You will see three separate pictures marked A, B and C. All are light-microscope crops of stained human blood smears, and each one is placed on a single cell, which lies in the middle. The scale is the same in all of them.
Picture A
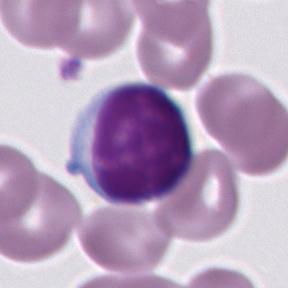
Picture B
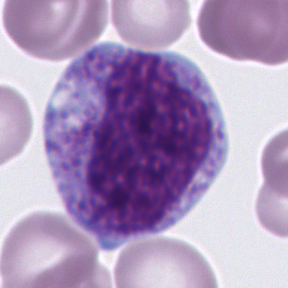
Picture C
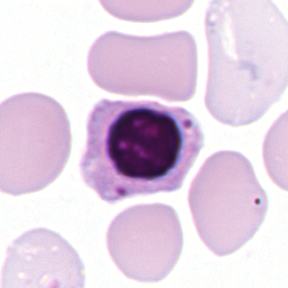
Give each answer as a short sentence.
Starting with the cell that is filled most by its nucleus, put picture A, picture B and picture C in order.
They run A, B, C, the most filled first.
